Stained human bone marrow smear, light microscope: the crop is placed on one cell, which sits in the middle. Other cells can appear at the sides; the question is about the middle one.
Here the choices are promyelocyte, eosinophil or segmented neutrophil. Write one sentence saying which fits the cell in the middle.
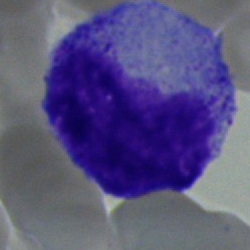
For this crop, the central cell is a promyelocyte.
